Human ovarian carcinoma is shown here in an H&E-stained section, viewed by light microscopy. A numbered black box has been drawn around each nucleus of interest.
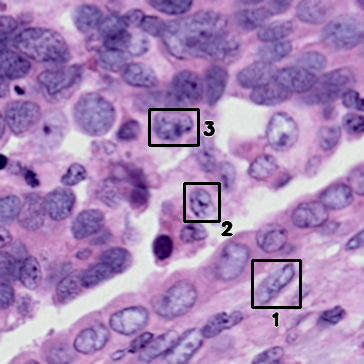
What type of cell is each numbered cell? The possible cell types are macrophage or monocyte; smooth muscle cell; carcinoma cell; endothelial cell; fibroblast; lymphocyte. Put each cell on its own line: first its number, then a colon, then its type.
1: fibroblast
2: macrophage or monocyte
3: macrophage or monocyte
